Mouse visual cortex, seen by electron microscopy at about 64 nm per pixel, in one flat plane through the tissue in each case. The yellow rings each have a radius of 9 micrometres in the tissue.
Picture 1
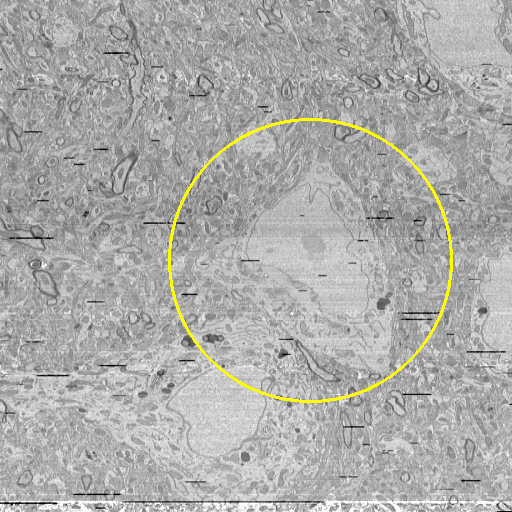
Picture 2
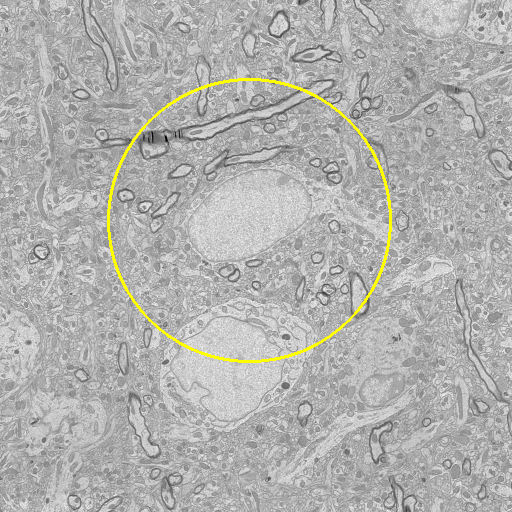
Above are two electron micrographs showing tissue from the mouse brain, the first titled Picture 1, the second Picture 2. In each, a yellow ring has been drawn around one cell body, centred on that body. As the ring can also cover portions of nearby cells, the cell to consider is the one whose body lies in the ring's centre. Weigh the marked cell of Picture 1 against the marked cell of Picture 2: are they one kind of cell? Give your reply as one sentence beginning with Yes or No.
No, the two cells sitting at the ring centres in the pictures are of two kinds.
